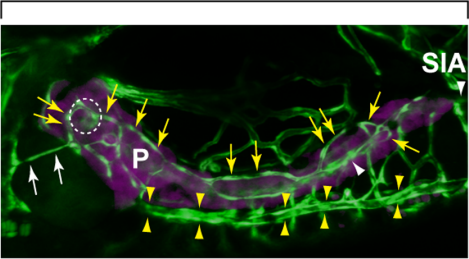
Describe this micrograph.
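Thin green vessels run along the upper and lower edges of the pancreas and cross over it, and below it lies a denser green mesh of intestinal vessels. Near the broad left end, a small rounded area inside the pancreas, where the magenta is weaker, is ringed by a loop of vessels.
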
